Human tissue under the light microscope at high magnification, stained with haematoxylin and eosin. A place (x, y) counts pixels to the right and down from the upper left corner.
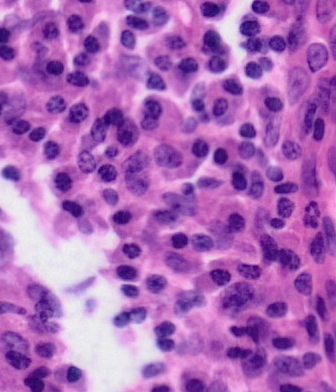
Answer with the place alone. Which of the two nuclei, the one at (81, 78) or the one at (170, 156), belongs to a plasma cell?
(81, 78)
